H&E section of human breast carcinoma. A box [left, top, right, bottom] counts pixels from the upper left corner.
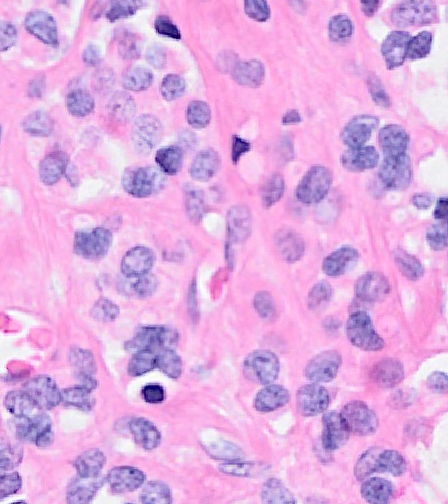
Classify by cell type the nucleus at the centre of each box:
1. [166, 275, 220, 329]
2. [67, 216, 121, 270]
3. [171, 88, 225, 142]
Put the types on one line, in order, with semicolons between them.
endothelial cell; carcinoma cell; carcinoma cell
